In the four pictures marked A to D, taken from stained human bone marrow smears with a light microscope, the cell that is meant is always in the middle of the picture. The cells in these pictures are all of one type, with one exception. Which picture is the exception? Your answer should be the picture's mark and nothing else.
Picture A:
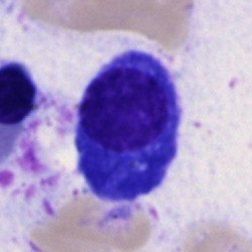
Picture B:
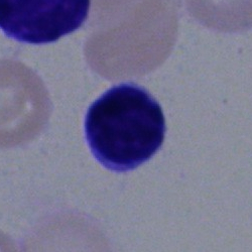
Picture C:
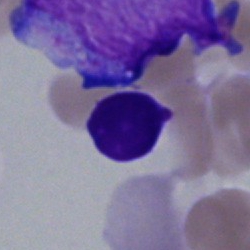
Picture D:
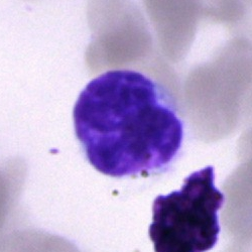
A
